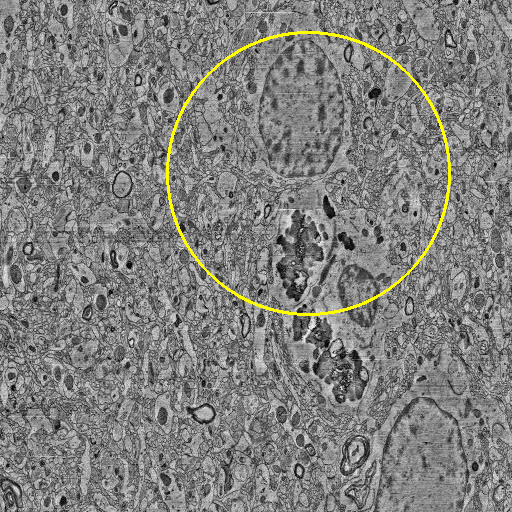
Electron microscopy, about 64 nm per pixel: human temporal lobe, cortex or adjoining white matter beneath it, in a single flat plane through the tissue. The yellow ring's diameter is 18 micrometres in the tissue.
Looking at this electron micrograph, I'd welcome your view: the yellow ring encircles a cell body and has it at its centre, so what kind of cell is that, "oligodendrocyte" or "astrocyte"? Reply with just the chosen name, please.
astrocyte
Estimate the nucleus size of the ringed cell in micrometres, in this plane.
In this plane the nucleus is clearly longer than it is wide, at approximately 9 by 5 micrometres.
